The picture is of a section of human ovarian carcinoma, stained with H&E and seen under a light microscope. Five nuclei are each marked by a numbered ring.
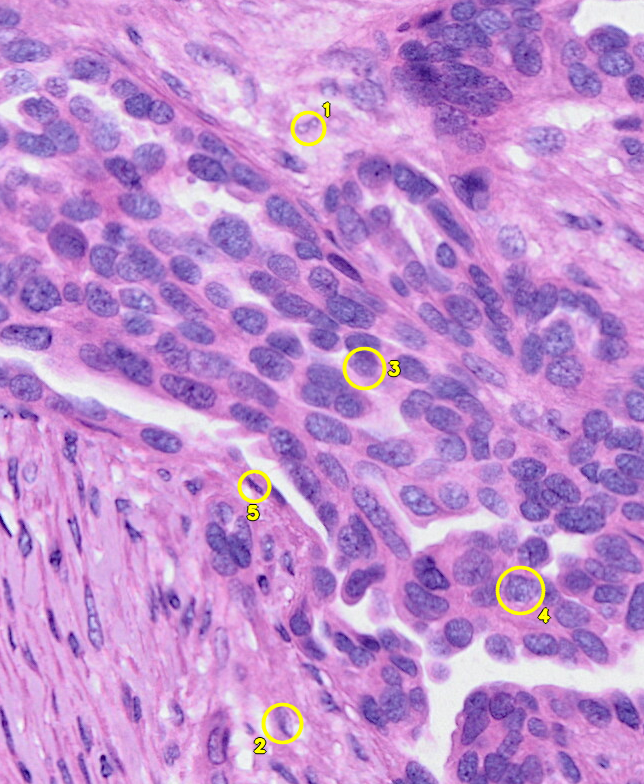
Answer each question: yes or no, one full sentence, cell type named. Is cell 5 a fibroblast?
Yes, the numbered cell 5 is a fibroblast.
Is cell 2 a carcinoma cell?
No, cell 2 does not represent a carcinoma cell; it represents a fibroblast.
